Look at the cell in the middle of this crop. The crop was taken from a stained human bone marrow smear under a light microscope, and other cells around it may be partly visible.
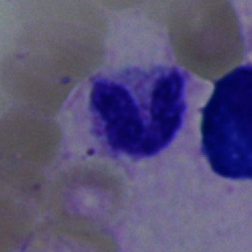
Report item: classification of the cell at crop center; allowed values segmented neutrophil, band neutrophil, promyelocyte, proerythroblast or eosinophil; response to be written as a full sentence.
The cell nearest the centre of this crop is a band neutrophil.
